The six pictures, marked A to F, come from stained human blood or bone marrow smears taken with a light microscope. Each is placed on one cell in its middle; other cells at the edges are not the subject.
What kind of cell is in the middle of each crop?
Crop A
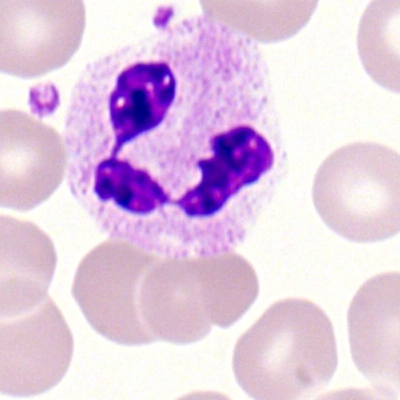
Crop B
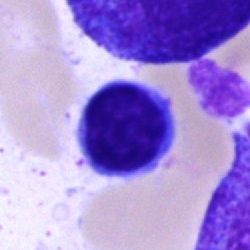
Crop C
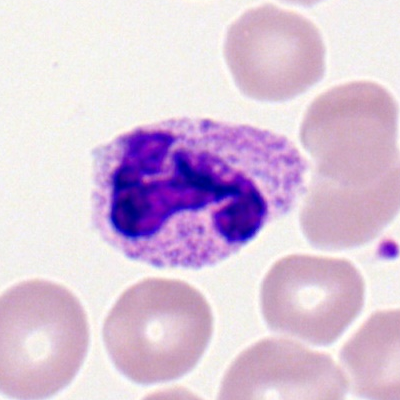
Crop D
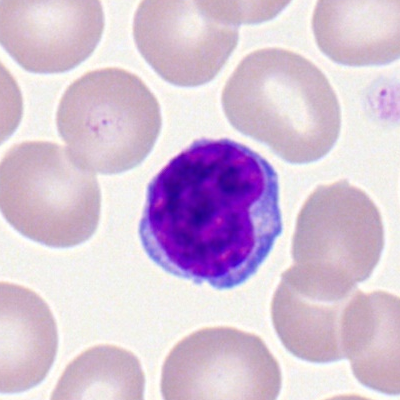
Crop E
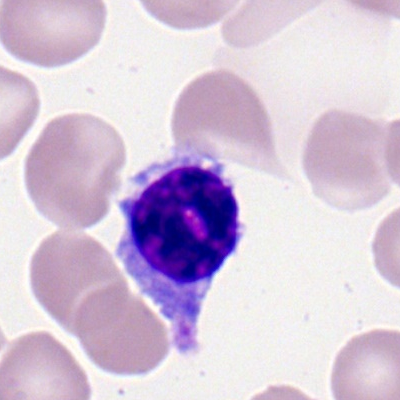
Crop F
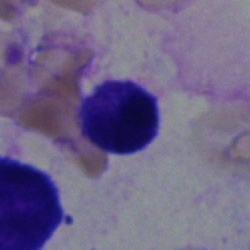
A: neutrophil
B: lymphocyte
C: neutrophil
D: lymphocyte
E: lymphocyte
F: lymphocyte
